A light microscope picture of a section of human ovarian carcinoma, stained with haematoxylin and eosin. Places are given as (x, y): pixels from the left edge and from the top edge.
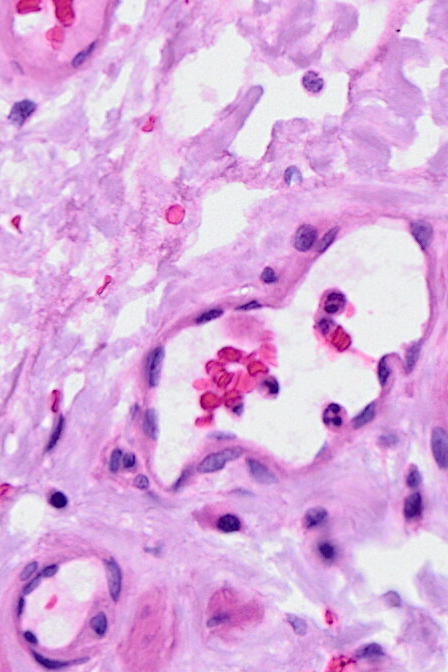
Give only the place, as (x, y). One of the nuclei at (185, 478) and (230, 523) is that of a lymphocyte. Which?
(230, 523)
